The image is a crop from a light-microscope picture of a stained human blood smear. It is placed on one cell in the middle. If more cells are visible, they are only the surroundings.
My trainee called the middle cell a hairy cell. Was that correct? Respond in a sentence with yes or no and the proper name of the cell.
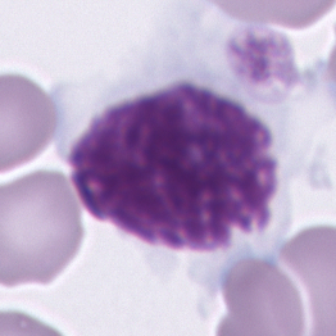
Yes, the cell of interest in the middle is a hairy cell.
